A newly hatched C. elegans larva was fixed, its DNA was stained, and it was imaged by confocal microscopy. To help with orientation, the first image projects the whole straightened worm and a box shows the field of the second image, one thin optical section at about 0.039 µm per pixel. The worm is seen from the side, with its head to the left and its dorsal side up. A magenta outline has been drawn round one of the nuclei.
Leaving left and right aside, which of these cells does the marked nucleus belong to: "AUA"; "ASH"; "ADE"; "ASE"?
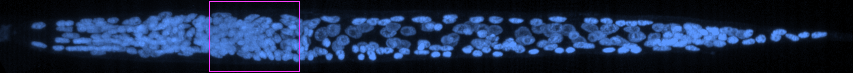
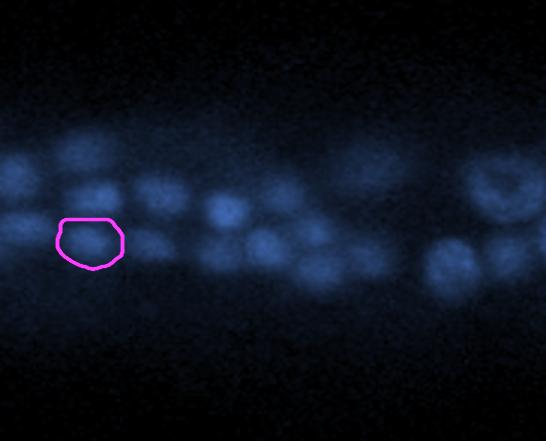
AUA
